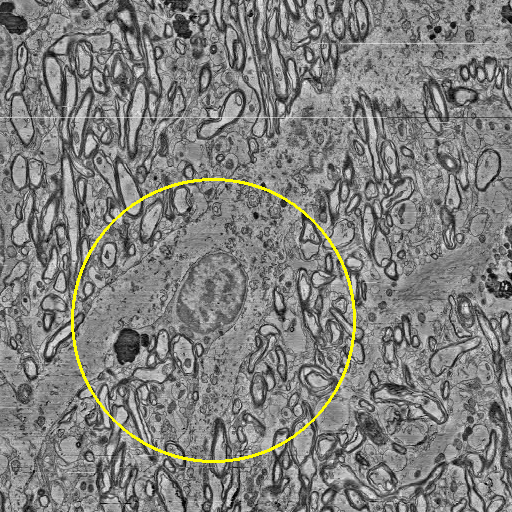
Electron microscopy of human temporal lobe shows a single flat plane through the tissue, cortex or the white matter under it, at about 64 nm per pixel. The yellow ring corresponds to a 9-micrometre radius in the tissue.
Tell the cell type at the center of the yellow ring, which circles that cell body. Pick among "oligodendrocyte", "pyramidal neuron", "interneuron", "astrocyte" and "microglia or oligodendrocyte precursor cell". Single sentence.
The ring is centered on the body of an oligodendrocyte.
